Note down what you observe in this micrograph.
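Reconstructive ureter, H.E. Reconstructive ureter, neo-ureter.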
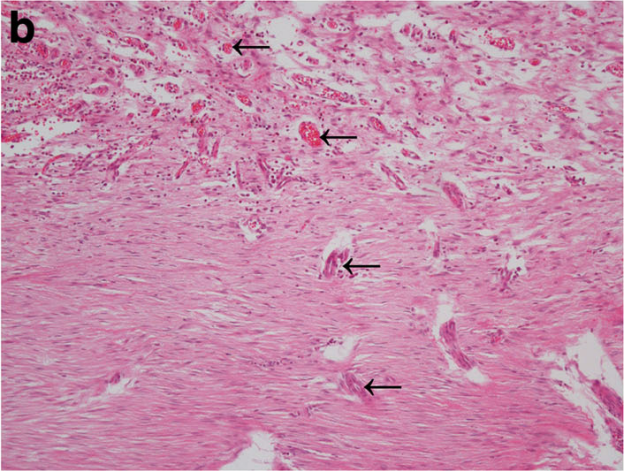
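This view shows submucosa and lamina muscularis, with loose, vessel-rich tissue above passing into densely packed, parallel pink spindle-shaped fibers with elongated nuclei below. Numerous small nutrient vessels run through both layers, some cut lengthwise and some in cross section, a few containing red blood cells.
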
